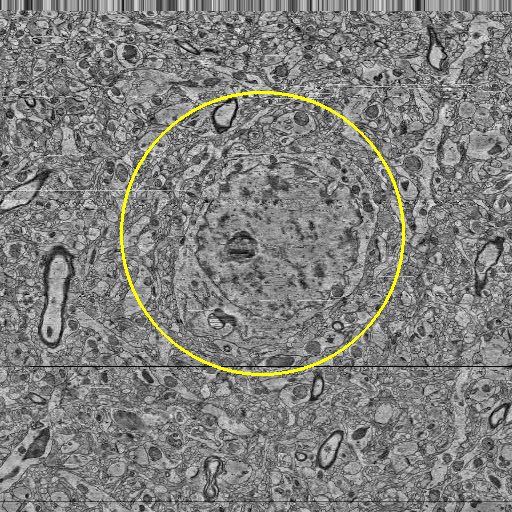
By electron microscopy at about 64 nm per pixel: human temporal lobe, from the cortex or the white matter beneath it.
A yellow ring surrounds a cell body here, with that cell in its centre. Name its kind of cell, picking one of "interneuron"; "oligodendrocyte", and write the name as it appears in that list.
interneuron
